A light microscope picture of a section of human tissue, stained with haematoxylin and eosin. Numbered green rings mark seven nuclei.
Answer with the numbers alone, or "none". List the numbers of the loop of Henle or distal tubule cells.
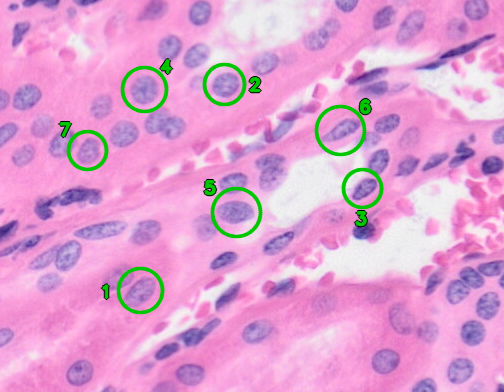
2, 4, 7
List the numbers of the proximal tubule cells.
1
